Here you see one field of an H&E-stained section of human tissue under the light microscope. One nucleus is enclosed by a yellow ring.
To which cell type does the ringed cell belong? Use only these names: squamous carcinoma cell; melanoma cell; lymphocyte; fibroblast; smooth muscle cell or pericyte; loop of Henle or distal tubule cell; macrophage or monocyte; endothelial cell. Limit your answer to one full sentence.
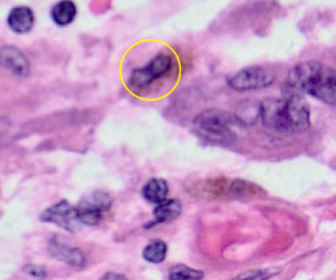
Students should answer that the ringed cell is a macrophage or monocyte.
